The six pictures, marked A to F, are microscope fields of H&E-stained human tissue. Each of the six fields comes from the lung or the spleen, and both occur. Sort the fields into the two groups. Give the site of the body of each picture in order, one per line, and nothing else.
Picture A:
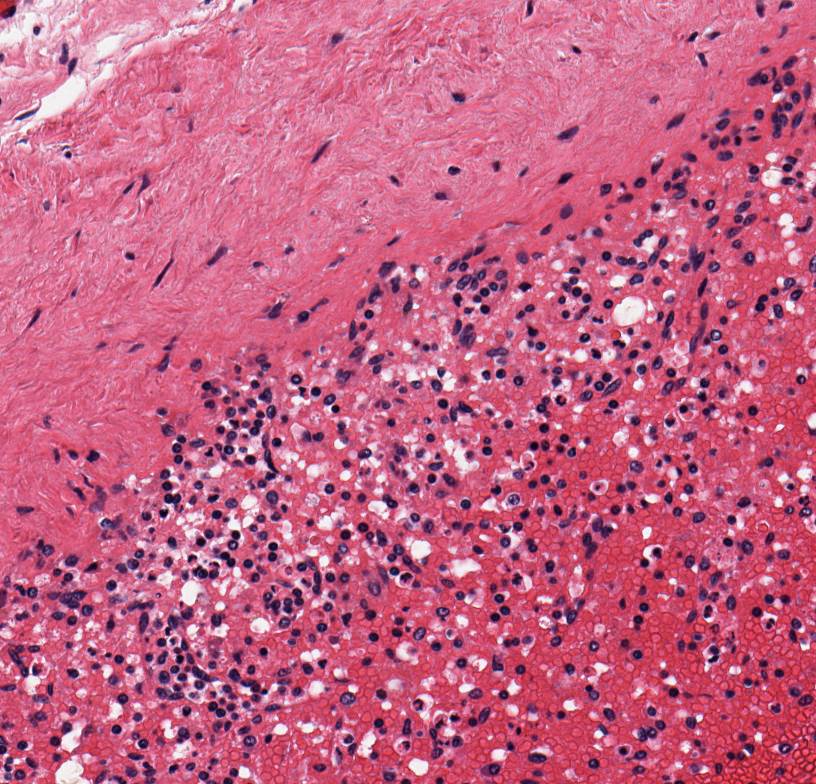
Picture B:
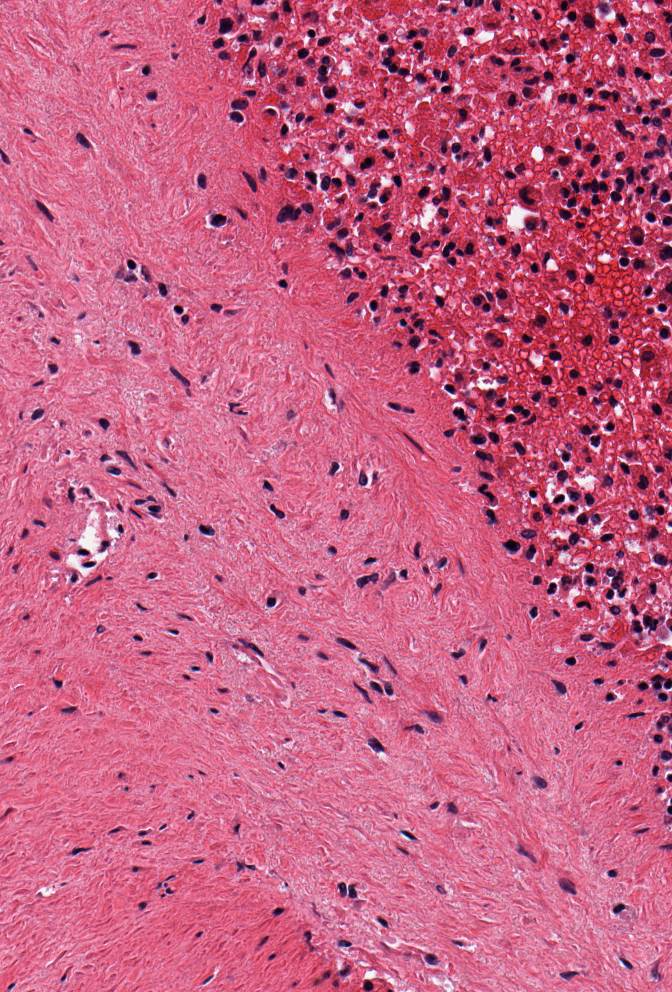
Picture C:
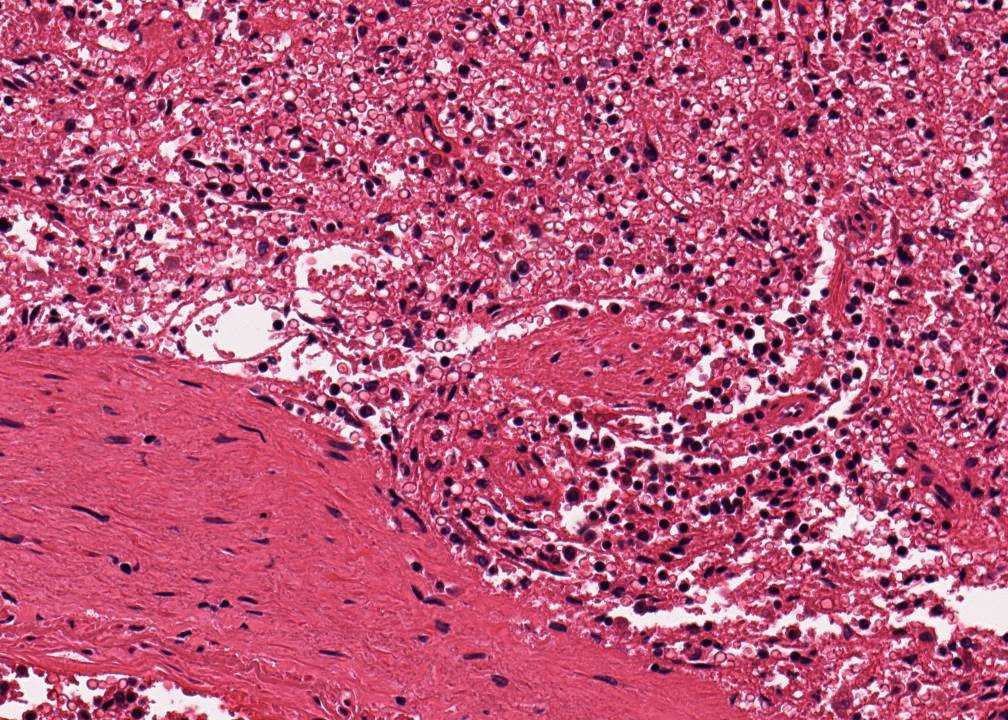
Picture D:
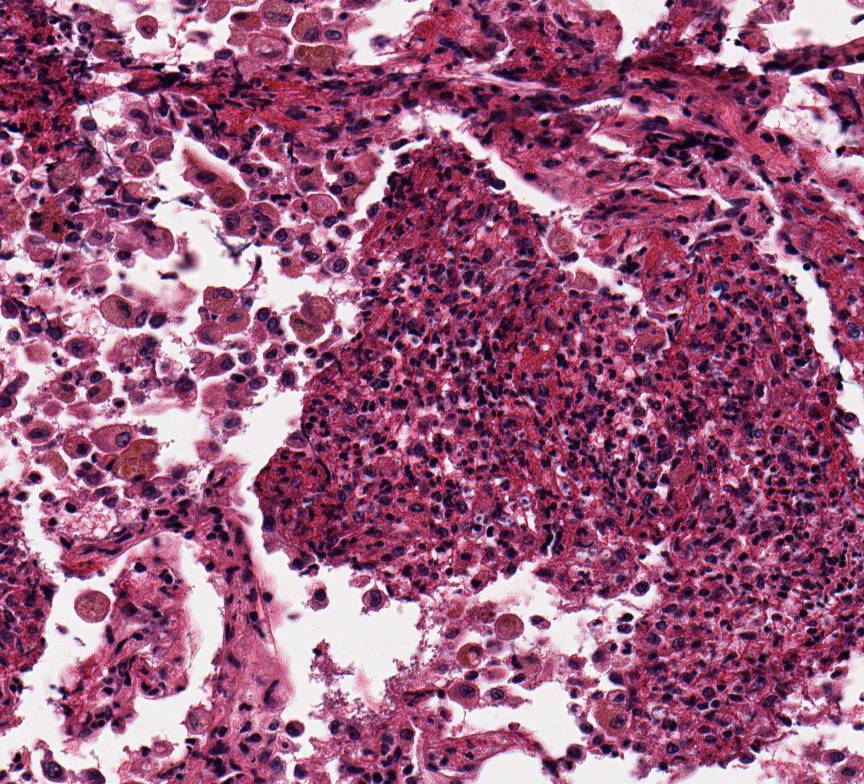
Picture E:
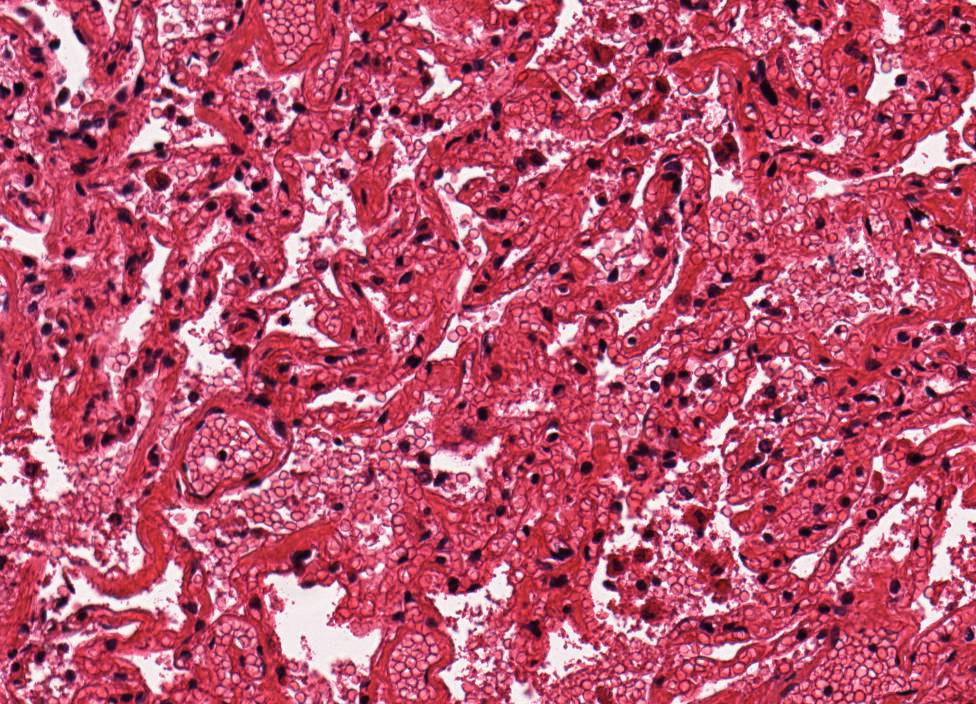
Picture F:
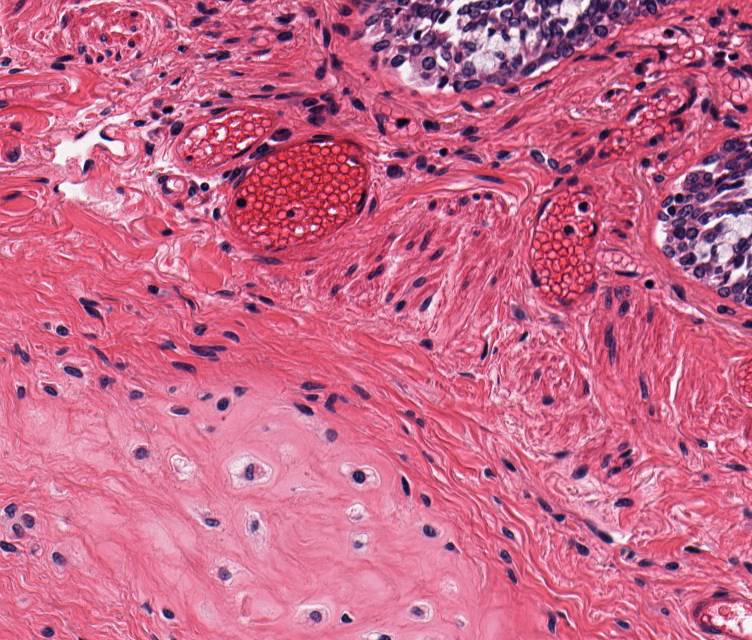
spleen
spleen
spleen
lung
lung
lung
